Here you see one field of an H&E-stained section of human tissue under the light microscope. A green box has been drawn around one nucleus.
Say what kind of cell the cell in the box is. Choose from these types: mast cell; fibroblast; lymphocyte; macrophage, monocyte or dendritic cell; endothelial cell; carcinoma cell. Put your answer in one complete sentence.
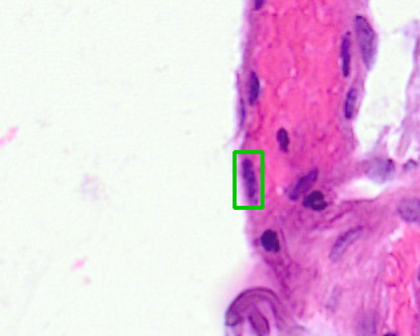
In the context of this tissue, the cell in the box is an endothelial cell.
